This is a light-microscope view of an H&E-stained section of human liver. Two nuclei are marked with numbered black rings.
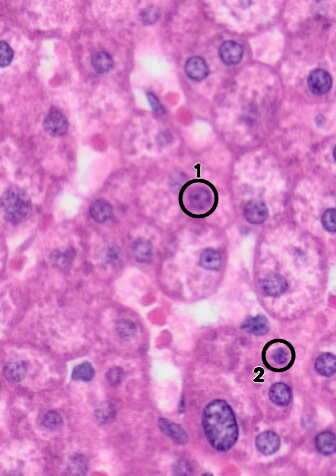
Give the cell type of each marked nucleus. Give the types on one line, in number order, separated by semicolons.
hepatocyte; lymphocyte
